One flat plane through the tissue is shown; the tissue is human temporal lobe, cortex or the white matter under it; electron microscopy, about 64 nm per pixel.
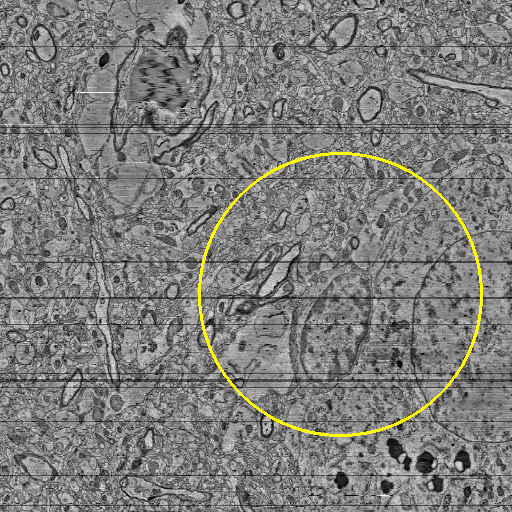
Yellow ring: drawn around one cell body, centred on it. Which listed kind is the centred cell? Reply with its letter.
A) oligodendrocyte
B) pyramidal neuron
A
